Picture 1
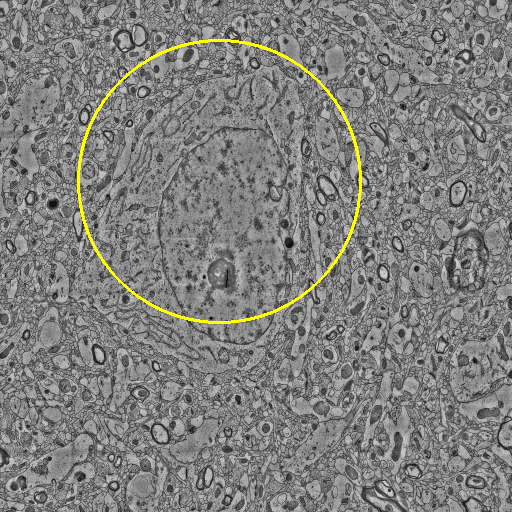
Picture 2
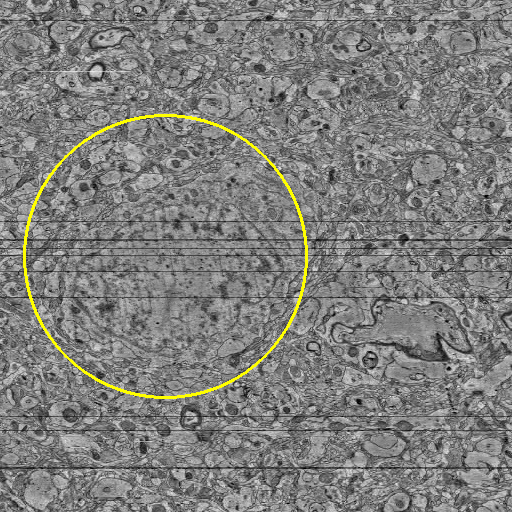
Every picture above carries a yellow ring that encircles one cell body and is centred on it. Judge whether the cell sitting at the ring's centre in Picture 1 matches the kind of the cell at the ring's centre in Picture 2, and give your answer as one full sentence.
Yes, the cells centred in the rings of Pictures 1 and 2 belong to one kind.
